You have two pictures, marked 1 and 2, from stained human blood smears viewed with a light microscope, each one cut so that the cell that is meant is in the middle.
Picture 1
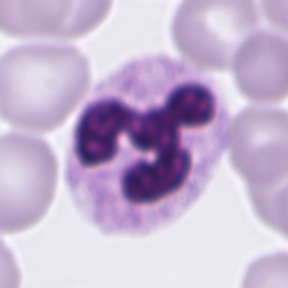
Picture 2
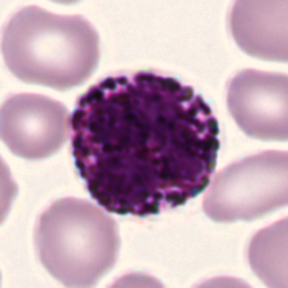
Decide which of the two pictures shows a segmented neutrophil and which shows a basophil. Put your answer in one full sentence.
Picture 1 is of a segmented neutrophil, and picture 2 is of a basophil.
